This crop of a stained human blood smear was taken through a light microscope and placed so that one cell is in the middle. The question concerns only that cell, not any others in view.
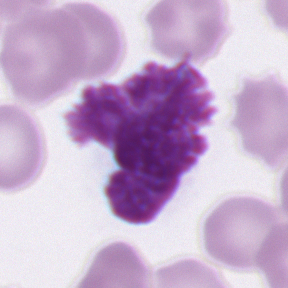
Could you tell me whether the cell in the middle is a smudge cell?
yes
